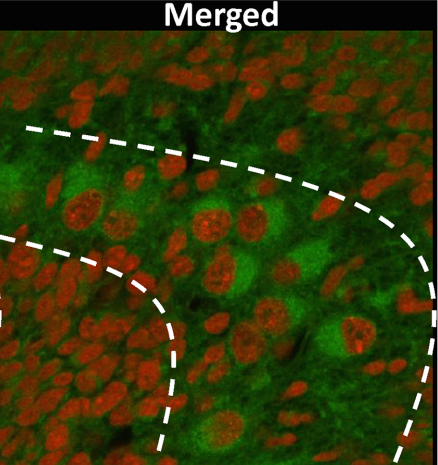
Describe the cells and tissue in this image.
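Cerebellar cortex with a curved row of large Purkinje cells between the dashed lines, their cytoplasm filled green and their large round nuclei red. On both sides lie densely packed small oval red nuclei of granule cells, in the external granule layer on one side and the internal granule layer on the other.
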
